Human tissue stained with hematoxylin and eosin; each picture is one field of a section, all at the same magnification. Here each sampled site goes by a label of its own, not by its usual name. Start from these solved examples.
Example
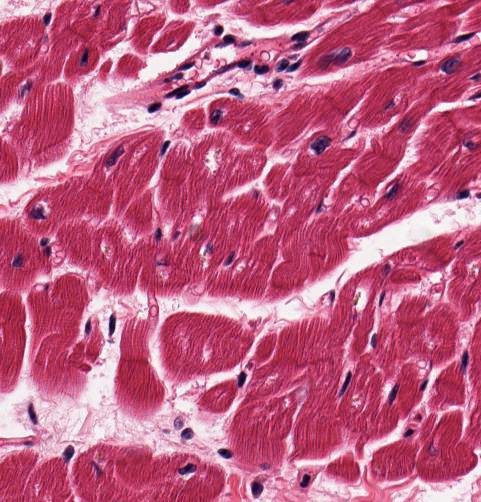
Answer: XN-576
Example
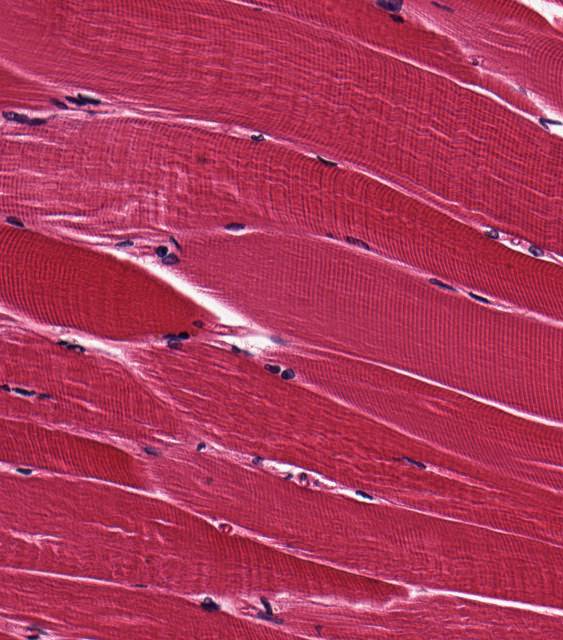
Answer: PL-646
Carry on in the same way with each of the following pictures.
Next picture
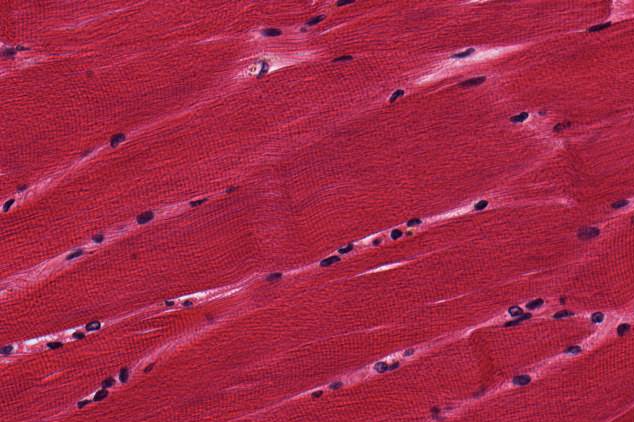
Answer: PL-646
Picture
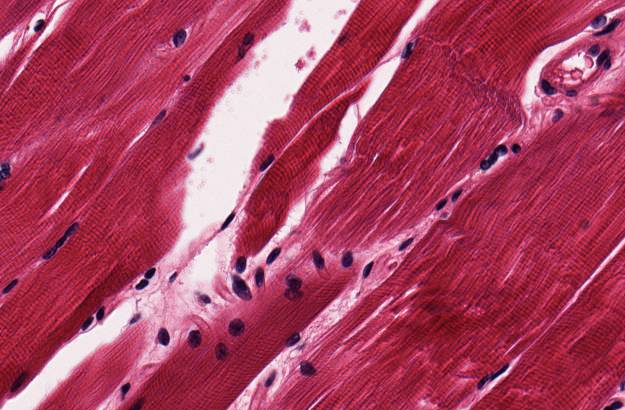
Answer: PL-646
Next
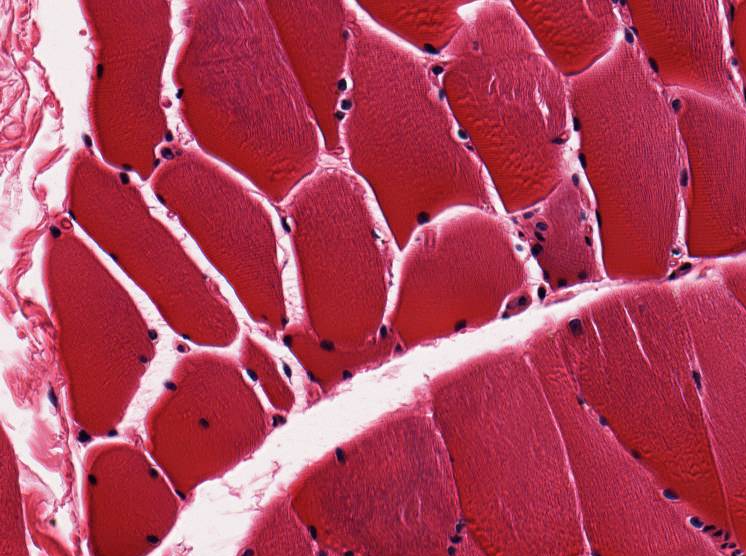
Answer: PL-646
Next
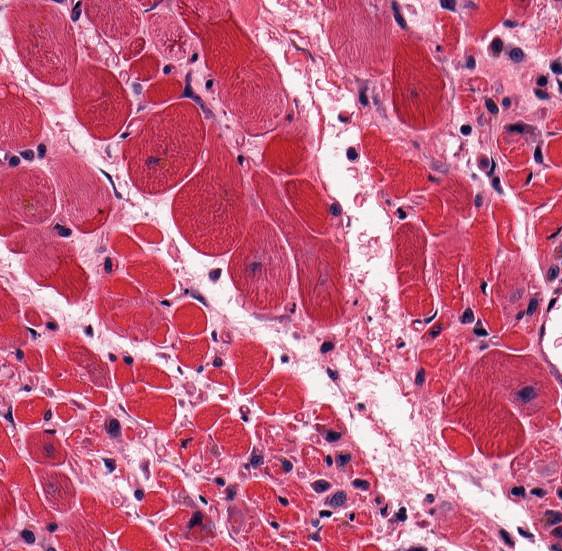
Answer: XN-576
